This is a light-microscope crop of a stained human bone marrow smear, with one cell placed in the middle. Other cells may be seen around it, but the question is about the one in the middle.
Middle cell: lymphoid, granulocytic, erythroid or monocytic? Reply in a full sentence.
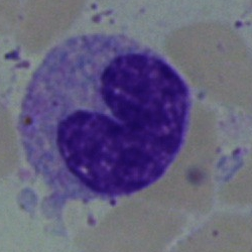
Of granulocytic lineage is the cell at the center of the crop.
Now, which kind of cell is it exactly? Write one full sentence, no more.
Seen at the centre of the crop is a band neutrophil.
